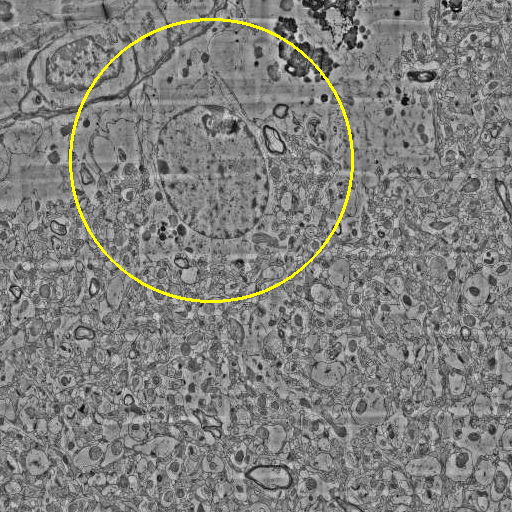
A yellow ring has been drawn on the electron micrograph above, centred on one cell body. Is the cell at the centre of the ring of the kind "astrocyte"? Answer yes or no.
yes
